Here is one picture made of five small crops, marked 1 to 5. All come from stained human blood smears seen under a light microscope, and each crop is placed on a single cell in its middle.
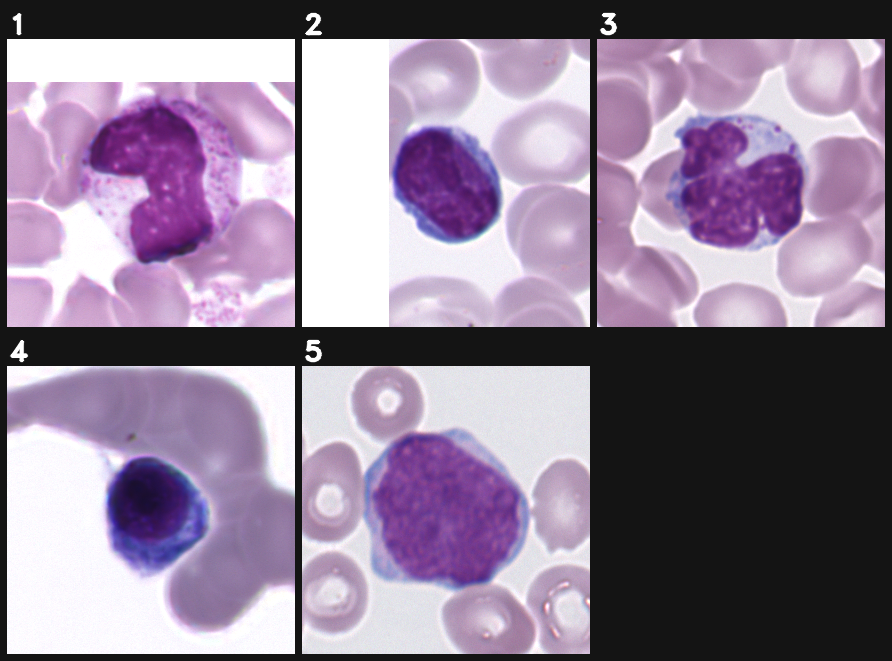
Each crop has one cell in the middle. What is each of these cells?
1: band neutrophil
2: lymphocyte
3: lymphocyte
4: plasma cell
5: blast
